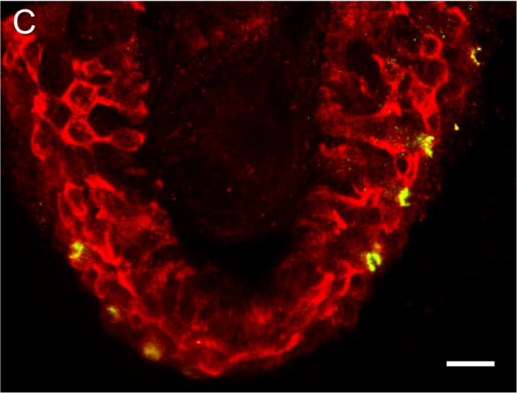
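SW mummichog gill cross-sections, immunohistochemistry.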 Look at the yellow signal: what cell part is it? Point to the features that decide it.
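Yellow cup-shaped spots lie at the outer surface of the red-outlined epithelium. So: apical crypt of ionocytes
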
